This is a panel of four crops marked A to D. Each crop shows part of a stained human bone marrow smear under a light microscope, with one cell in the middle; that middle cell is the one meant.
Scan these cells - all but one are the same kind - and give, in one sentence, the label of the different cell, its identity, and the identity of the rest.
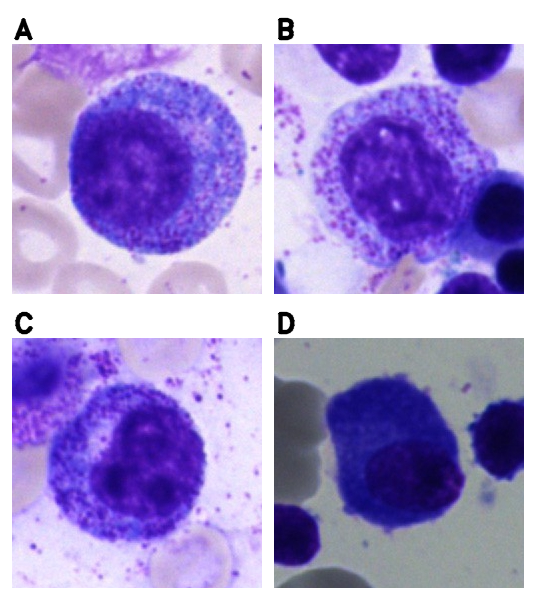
Unlike the other crops, all showing promyelocytes, crop D is a plasma cell.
